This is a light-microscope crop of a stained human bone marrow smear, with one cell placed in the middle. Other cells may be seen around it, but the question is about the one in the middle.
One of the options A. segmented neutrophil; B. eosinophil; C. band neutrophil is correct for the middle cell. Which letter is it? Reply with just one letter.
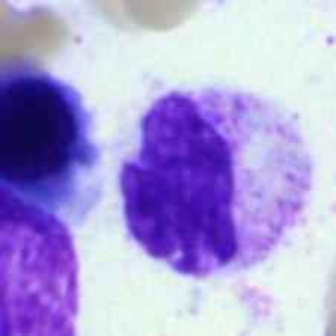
A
